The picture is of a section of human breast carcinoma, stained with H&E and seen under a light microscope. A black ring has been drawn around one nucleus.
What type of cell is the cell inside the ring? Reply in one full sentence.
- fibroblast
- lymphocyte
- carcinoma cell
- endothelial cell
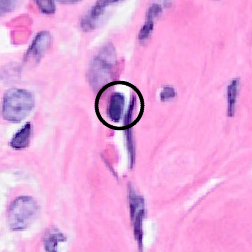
The cell meant here is an endothelial cell.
